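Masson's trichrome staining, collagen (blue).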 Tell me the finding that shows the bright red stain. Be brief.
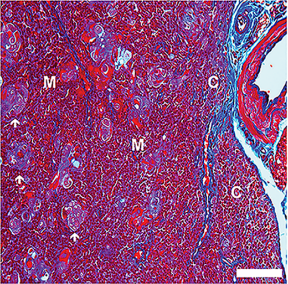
Keratinization.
